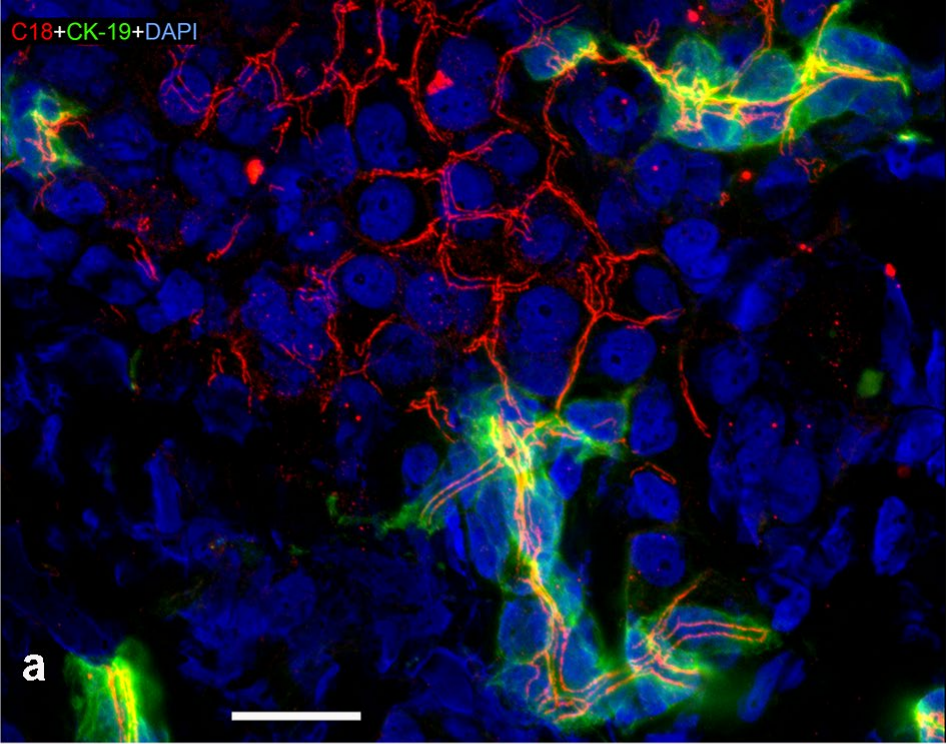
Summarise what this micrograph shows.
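This is liver in which large polygonal hepatocytes with round nuclei and clear nucleoli form plates, and a red network of fine lines outlines them. In many places the red lines run as paired parallel tracks between neighbouring cells, marking bile canaliculi. The surrounding tissue holds many blue nuclei of other, smaller cells.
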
